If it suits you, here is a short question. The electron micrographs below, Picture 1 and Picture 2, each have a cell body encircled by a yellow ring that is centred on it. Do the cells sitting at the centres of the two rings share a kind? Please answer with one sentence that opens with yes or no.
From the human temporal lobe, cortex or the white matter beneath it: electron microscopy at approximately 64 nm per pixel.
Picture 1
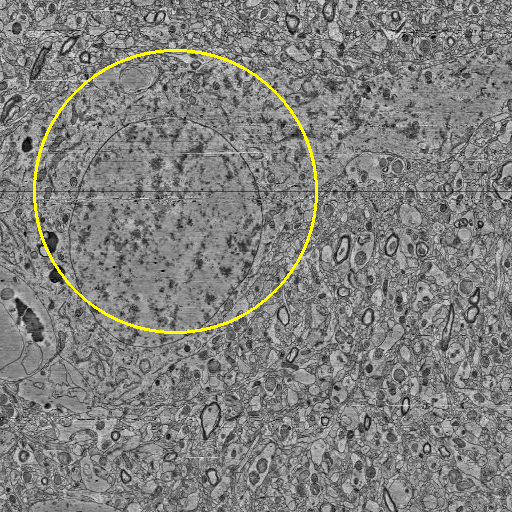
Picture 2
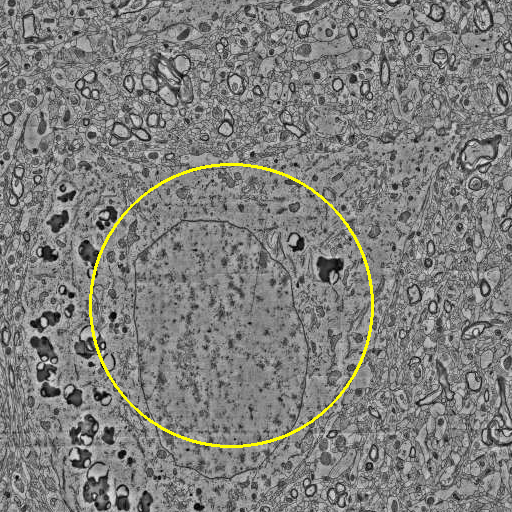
Yes, the two cells sitting at the ring centres share a single kind.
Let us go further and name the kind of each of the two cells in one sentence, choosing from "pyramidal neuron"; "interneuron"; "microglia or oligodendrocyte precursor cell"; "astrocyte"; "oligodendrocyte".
The cell in the first picture is a pyramidal neuron, and so is the one in the second.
